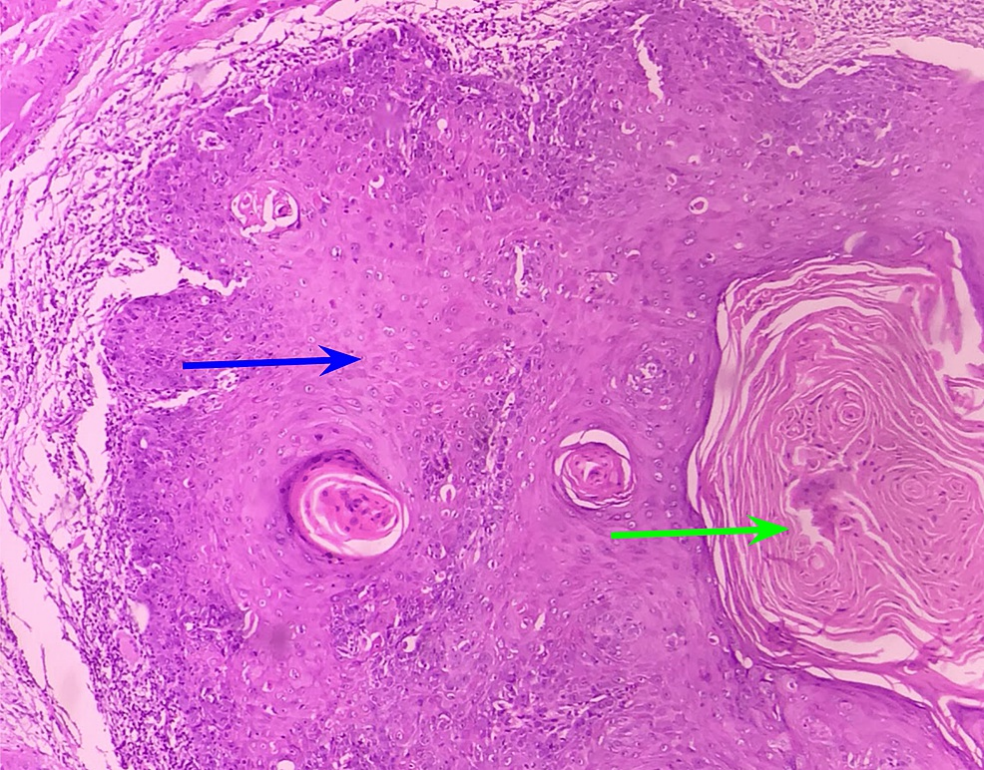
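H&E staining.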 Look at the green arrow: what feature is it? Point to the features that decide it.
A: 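The arrow points into a large round mass of concentric, onion-skin pink lamellae. The mass lies within a nest of squamous cells. Smaller similar concentric whorls lie elsewhere in the sheet of cells.
Answer: keratin pearls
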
